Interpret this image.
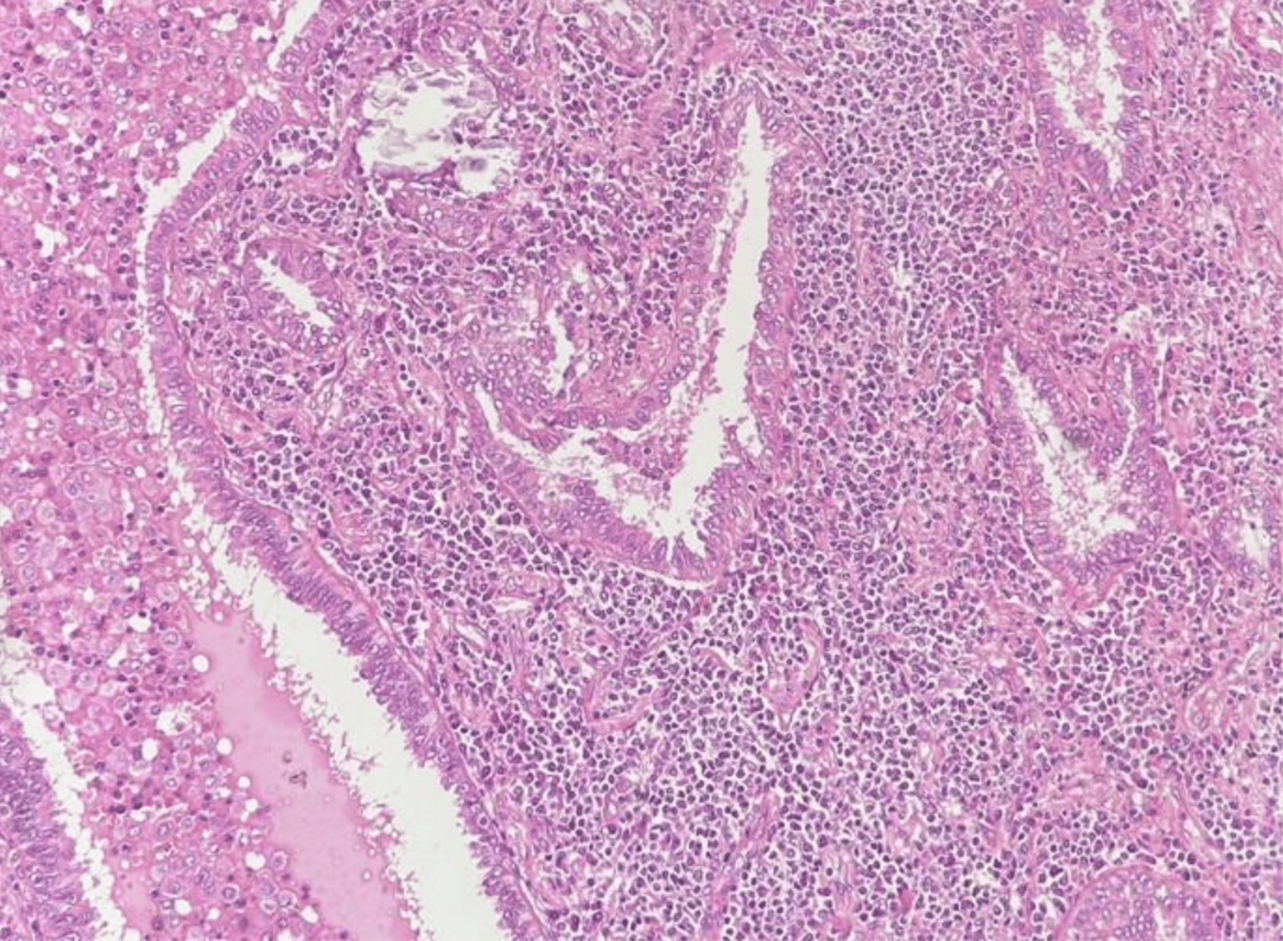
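This is lung tissue in which the walls between the airspaces are greatly thickened by a dense crowd of small round cells with dark purple, round nuclei and very little cytoplasm. Several narrowed, slit-like airspaces remain, lined by a single row of cuboidal to columnar epithelial cells with pink cytoplasm. At the left edge, an airspace holds pale pink proteinaceous material, and beside it lie larger cells with abundant pale pink cytoplasm.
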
